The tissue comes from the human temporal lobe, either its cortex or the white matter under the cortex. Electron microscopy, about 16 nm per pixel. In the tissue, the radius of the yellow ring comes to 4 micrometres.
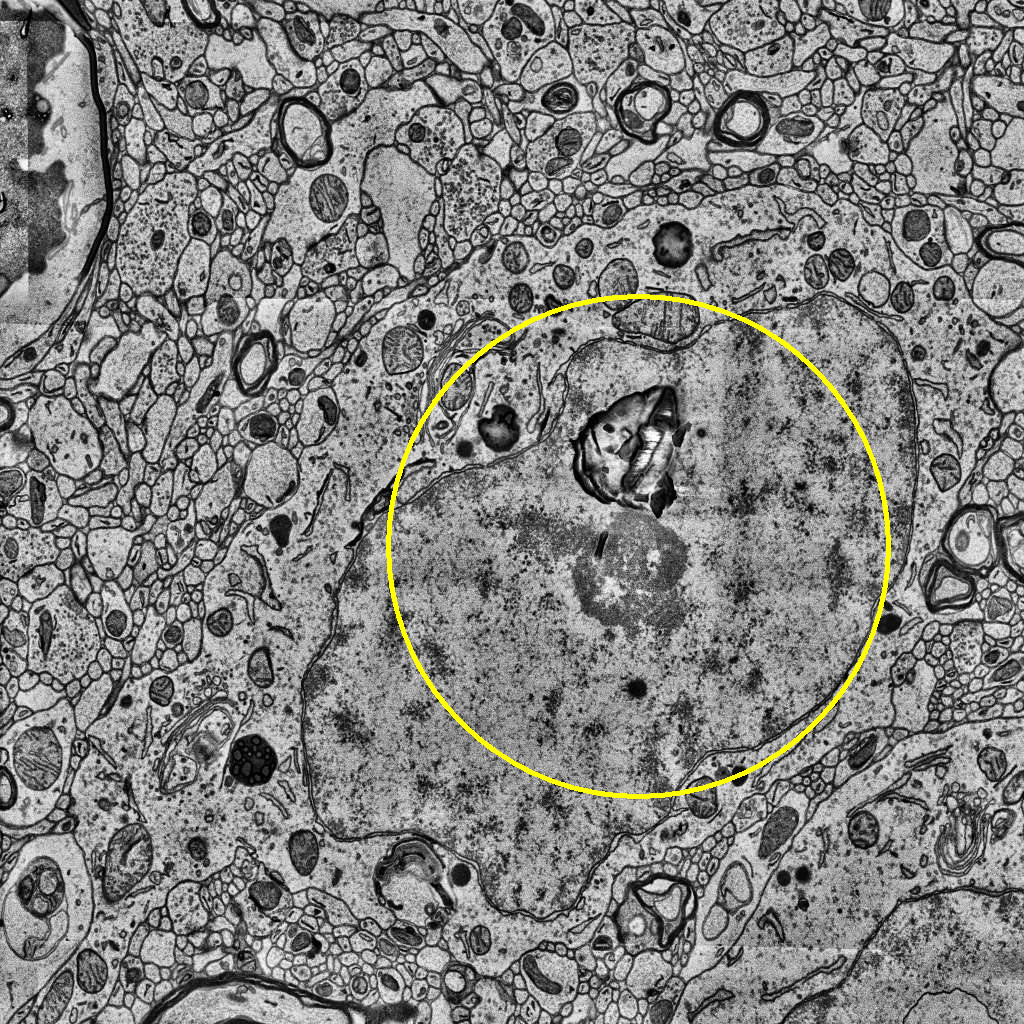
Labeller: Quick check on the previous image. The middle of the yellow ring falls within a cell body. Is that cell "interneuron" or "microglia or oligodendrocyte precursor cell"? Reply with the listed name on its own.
interneuron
